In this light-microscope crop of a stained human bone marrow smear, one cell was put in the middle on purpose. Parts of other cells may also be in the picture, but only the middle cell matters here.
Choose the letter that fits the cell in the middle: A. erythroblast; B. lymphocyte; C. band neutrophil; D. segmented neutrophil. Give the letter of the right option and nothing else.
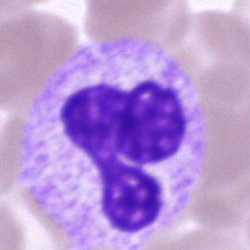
D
